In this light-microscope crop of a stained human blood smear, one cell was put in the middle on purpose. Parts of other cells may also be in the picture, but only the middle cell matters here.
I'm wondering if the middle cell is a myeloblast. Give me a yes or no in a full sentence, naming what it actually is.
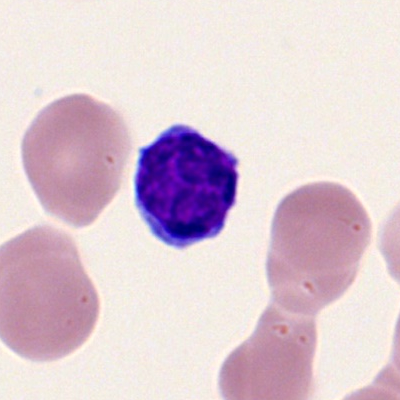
No, the centered cell is a lymphocyte and not a myeloblast at all.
